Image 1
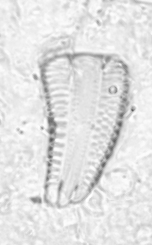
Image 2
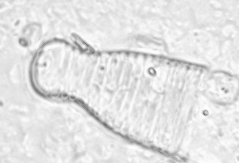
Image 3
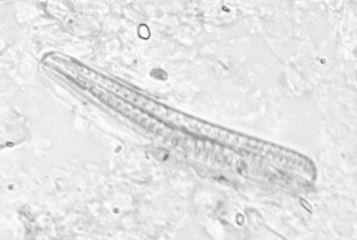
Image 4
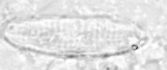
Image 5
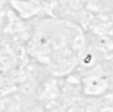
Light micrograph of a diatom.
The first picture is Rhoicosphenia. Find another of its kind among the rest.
Picture 3.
